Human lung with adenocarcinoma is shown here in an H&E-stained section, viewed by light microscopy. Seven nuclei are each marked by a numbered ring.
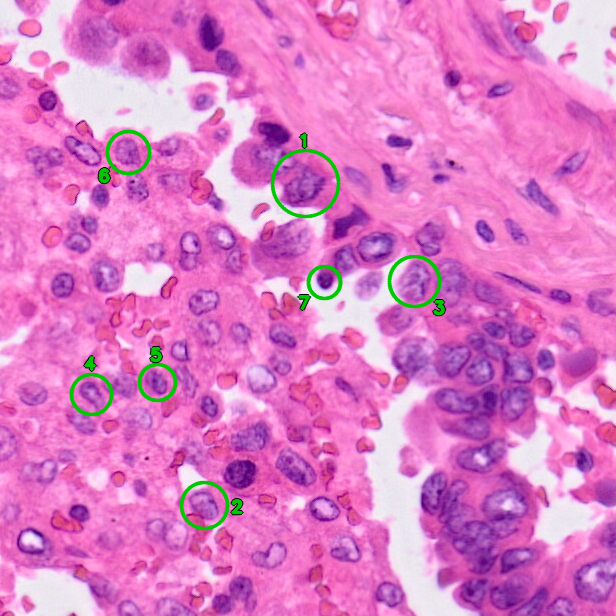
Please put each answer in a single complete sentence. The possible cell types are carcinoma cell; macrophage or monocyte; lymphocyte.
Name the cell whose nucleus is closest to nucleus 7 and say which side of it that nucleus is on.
A carcinoma cell lies closest, above and to the right of nucleus 7.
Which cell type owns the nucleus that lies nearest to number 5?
It is a macrophage or monocyte whose nucleus is nearest to number 5.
